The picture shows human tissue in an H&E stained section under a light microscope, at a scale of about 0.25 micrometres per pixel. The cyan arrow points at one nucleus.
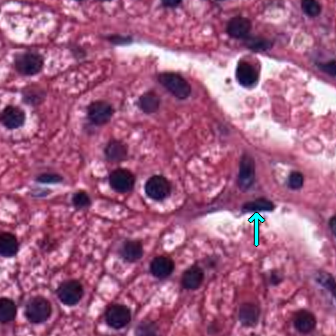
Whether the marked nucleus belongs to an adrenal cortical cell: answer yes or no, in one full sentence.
No, the marked nucleus belongs not to an adrenal cortical cell but to a supporting cell of connective tissue, a vessel or the immune system.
